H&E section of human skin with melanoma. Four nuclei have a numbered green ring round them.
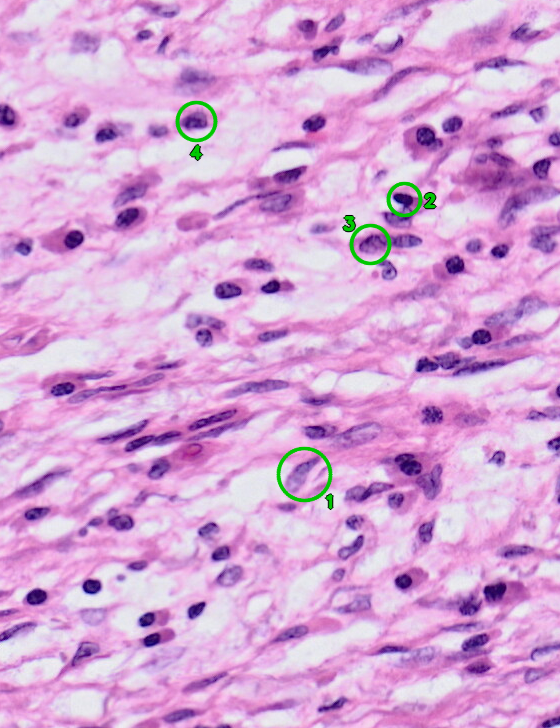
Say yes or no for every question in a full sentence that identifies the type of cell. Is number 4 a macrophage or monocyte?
Yes, the cell labelled with number 4 is a macrophage or monocyte.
